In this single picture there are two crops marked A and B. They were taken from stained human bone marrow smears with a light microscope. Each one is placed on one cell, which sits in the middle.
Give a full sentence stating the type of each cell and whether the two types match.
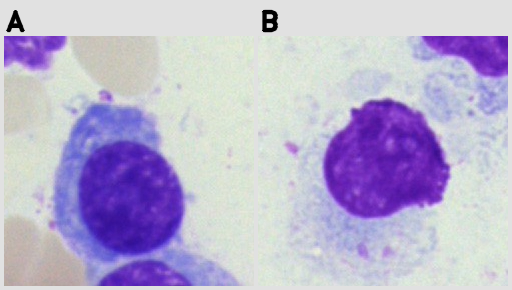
No, shown in crop A is a plasma cell, and shown in crop B is a hairy cell.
